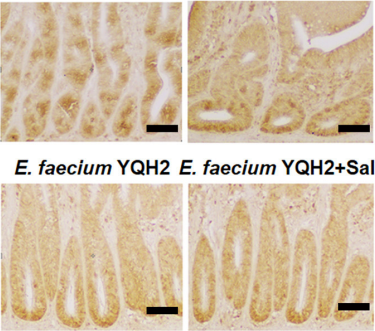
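The crypt epithelium takes up a brown stain that is strongest toward the crypt bases. Paler connective tissue of the lamina propria lies between neighbouring crypts.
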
